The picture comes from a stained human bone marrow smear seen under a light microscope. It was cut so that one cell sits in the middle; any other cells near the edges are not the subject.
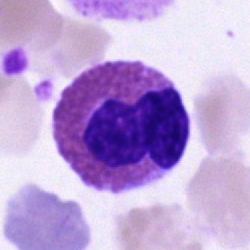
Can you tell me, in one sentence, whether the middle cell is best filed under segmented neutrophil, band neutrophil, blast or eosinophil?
What sits at the centre of this crop is an eosinophil.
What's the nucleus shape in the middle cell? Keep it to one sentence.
Kindly observe that the nucleus forms two or more lobes.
